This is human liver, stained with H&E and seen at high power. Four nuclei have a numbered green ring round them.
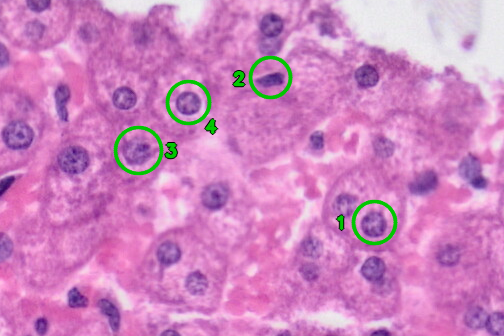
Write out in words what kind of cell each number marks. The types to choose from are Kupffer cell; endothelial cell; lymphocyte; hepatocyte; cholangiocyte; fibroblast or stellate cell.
Cells 1, 3 and 4 are hepatocytes. Cell 2 is a fibroblast or stellate cell.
